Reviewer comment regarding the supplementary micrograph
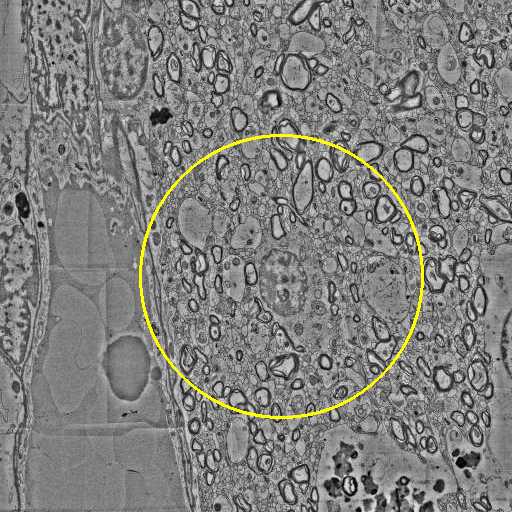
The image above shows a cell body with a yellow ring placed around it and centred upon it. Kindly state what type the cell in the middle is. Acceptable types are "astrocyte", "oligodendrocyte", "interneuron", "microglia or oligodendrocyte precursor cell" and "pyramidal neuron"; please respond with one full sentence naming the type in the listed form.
In the image above, the cell on which the yellow ring is centred is an oligodendrocyte.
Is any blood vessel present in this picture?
Yes.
